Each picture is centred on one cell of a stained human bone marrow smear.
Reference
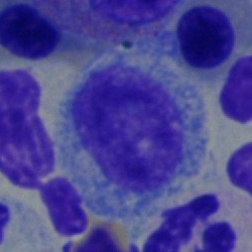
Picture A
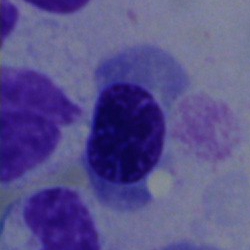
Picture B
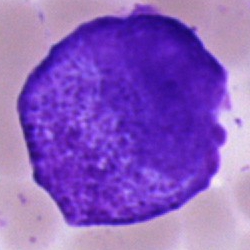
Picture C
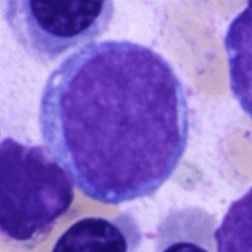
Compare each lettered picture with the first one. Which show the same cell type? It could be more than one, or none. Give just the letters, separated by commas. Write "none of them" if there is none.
none of them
